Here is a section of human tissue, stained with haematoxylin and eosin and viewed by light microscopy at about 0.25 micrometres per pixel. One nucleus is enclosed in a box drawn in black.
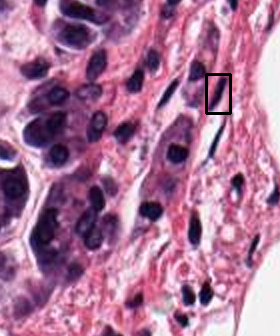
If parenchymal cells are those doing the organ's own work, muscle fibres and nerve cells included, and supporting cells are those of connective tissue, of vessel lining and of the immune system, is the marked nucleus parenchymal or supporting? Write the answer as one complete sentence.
Housed within a supporting cell is the marked nucleus.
